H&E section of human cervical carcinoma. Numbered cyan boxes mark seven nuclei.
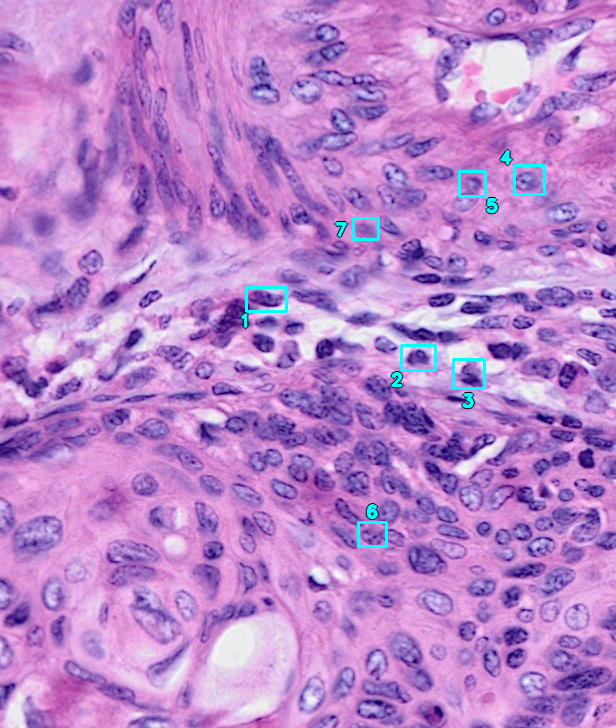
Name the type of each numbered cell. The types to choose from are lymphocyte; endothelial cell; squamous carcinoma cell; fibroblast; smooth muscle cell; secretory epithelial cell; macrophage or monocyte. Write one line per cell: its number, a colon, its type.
1: lymphocyte
2: lymphocyte
3: lymphocyte
4: smooth muscle cell
5: smooth muscle cell
6: squamous carcinoma cell
7: smooth muscle cell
